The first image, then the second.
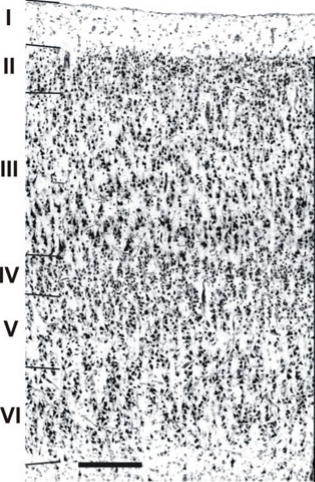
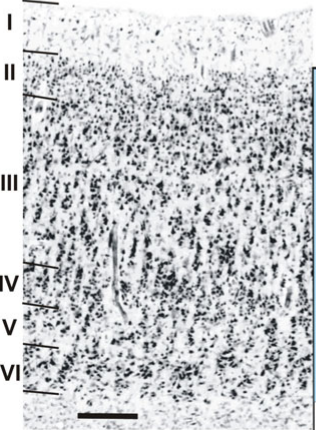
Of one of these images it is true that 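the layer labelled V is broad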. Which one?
the first image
